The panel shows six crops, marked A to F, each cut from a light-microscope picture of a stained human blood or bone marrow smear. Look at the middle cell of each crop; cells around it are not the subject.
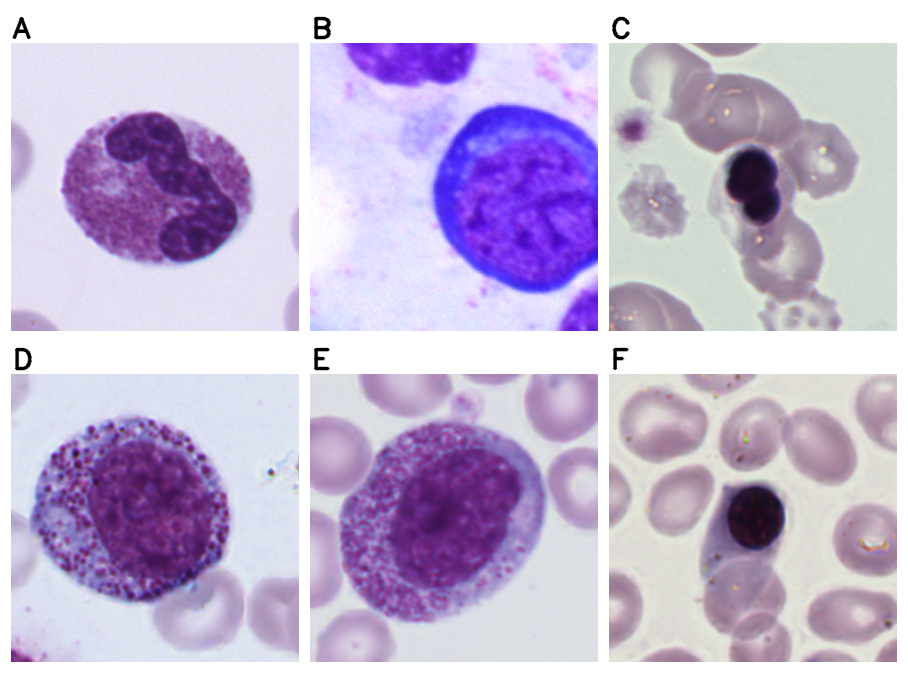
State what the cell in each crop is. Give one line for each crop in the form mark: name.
A: eosinophil
B: normoblast
C: normoblast
D: promyelocyte
E: promyelocyte
F: normoblast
